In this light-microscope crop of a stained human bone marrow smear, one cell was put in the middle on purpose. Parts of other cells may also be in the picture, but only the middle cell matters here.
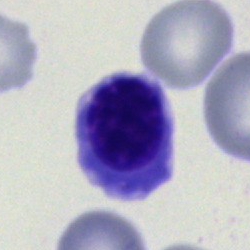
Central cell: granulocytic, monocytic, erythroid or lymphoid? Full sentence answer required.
The central cell of this crop is identified as belonging to the erythroid lineage.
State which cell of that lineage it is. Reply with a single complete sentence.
At the middle of the frame sits an erythroblast.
